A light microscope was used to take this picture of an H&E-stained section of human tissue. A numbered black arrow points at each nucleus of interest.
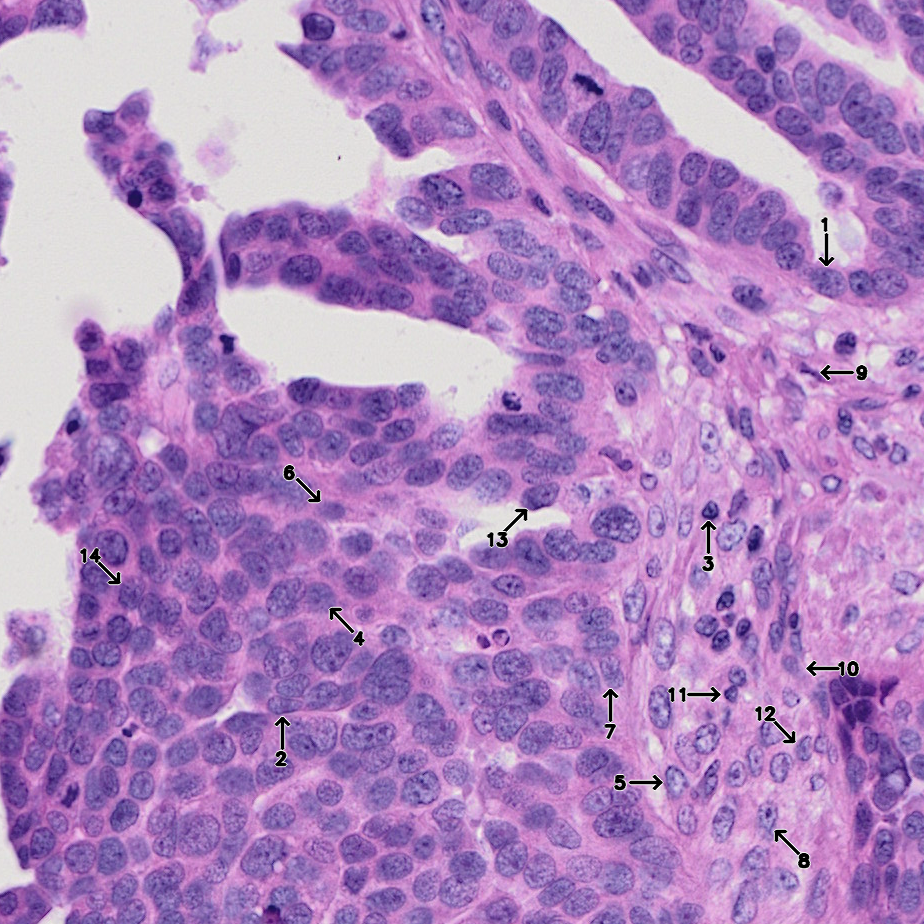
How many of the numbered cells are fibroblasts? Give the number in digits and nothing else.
5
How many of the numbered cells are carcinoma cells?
7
